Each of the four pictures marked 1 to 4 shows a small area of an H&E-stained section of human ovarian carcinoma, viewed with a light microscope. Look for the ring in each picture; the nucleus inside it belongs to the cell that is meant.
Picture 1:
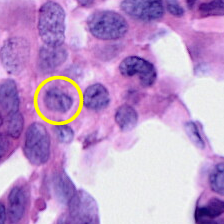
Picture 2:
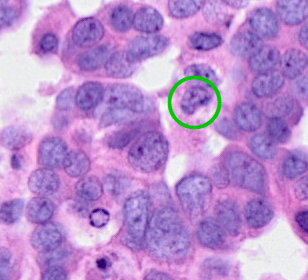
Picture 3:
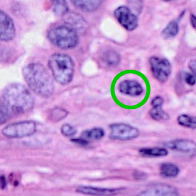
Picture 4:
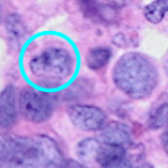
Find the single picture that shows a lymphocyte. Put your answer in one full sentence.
Picture 3 shows the lymphocyte.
